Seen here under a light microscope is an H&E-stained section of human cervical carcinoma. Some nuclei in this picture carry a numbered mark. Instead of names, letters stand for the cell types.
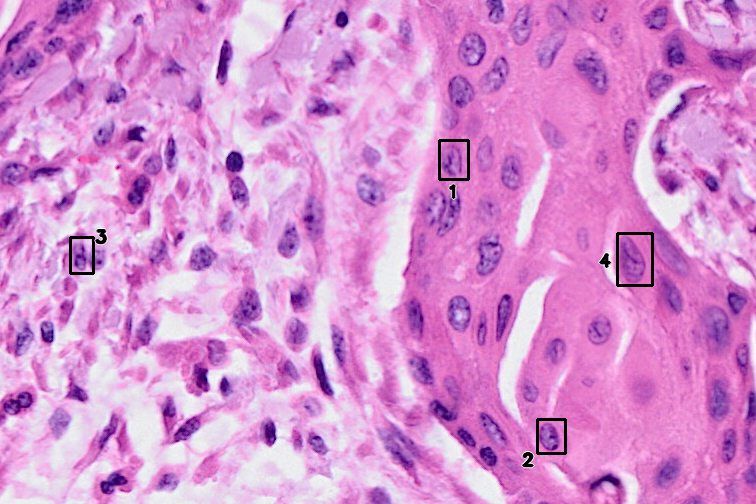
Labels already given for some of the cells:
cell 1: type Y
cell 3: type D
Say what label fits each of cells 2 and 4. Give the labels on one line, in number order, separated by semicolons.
type Y; type Y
